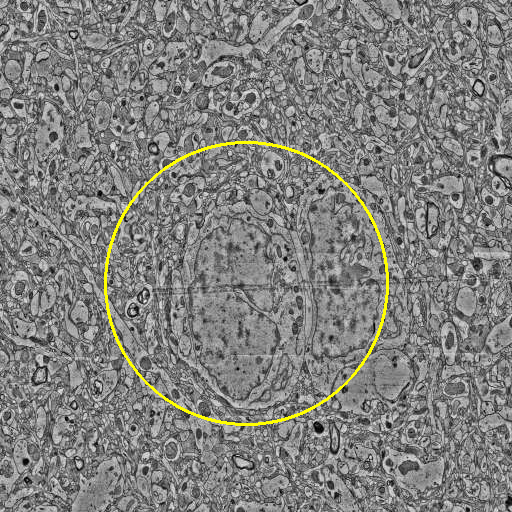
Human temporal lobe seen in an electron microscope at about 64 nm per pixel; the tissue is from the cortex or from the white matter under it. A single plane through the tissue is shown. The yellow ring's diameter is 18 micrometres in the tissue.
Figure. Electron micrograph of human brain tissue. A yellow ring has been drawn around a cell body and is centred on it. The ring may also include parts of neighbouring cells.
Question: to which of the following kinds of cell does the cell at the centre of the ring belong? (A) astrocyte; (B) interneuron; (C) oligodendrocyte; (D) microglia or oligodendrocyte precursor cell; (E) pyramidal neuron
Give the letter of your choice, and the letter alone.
B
